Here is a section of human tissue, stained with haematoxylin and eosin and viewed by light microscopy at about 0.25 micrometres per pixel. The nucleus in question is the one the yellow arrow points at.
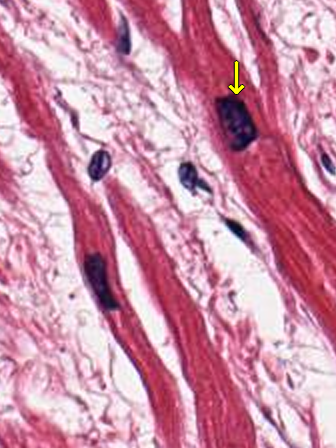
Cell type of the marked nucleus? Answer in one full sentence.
As shown, the marked nucleus belongs to a cardiomyocyte.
